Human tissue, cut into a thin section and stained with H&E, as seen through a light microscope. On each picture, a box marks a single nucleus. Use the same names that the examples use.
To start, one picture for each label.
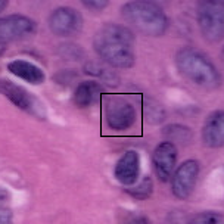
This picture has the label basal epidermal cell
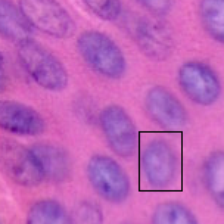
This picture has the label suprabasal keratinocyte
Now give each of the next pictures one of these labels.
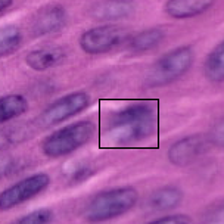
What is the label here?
suprabasal keratinocyte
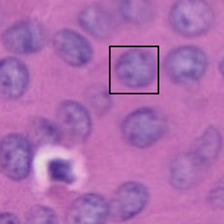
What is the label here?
suprabasal keratinocyte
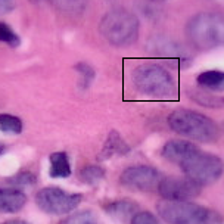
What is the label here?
basal epidermal cell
